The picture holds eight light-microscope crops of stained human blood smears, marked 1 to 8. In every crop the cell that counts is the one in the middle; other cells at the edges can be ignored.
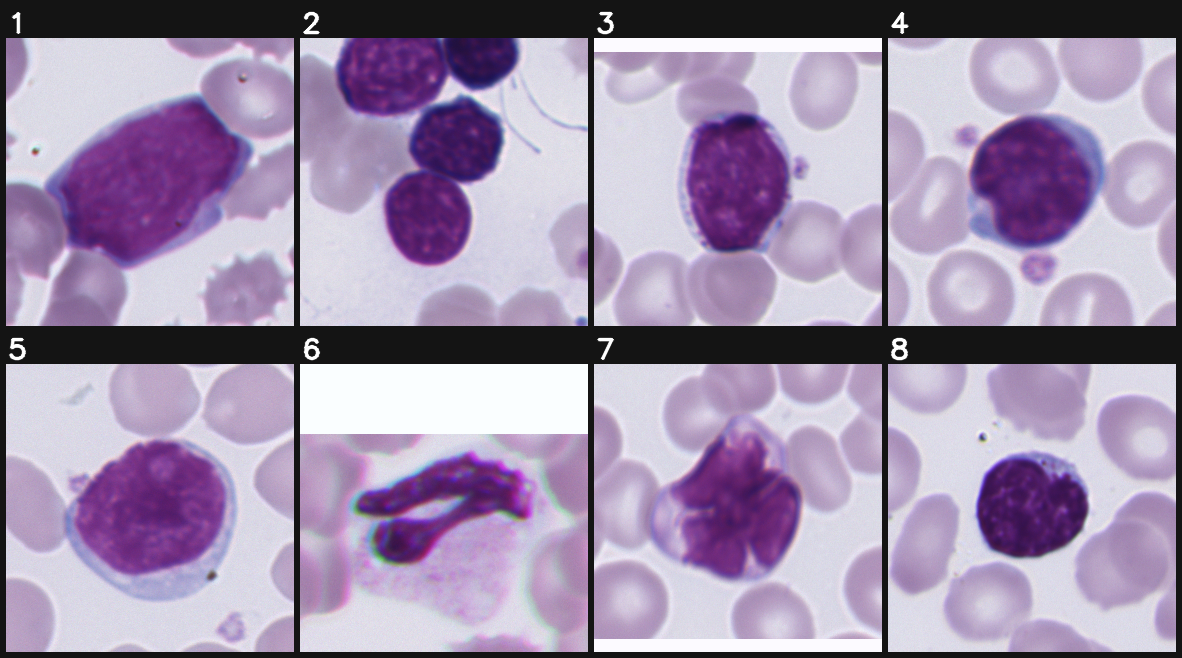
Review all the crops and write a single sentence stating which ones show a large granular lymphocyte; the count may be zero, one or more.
In crops 3 and 7, the central cells are large granular lymphocytes.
